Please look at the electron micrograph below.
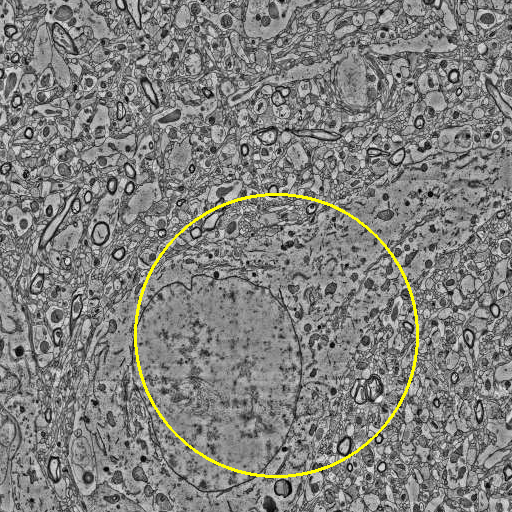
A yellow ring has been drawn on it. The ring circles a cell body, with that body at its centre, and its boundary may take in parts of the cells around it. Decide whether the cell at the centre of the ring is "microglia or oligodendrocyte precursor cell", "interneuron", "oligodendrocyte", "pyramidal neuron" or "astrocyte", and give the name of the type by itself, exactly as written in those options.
pyramidal neuron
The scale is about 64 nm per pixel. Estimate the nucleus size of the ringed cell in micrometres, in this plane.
The nucleus has a long axis of about 14 micrometres and a short axis of about 11 micrometres in this plane.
